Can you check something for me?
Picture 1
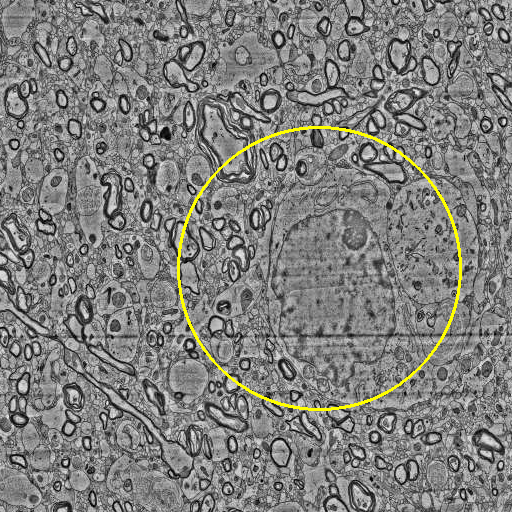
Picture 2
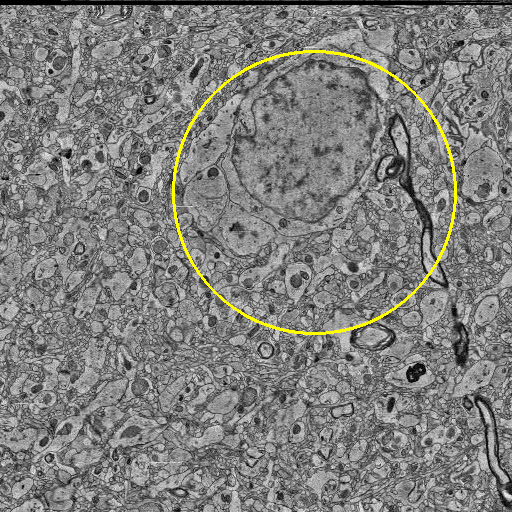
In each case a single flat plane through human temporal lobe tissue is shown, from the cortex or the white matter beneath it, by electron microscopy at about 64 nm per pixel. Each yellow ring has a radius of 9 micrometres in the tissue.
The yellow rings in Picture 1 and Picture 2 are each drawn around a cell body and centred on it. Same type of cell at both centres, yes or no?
yes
